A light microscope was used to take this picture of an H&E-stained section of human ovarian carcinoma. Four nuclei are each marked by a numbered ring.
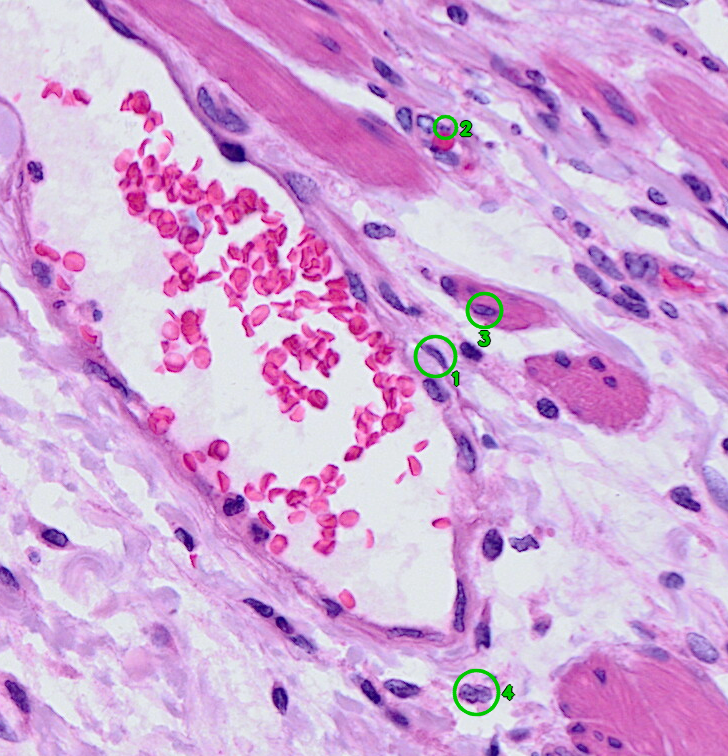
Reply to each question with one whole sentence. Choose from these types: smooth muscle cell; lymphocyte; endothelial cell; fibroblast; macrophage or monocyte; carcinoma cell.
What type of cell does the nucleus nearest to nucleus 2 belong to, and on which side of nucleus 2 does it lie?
Lying to the left of nucleus 2, the nearest nucleus is that of an endothelial cell.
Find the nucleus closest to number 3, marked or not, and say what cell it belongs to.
The nearest nucleus to number 3 belongs to a smooth muscle cell.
